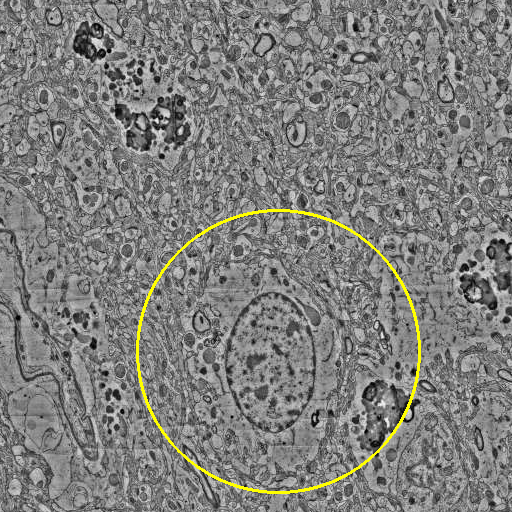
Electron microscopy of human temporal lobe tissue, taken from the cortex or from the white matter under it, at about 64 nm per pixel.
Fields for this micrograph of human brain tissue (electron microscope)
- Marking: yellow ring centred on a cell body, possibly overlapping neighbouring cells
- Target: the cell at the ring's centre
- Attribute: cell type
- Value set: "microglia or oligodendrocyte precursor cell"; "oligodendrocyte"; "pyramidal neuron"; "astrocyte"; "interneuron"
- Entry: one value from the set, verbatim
astrocyte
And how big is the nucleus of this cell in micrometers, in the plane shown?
Approximately 9 by 6 micrometers in this plane.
